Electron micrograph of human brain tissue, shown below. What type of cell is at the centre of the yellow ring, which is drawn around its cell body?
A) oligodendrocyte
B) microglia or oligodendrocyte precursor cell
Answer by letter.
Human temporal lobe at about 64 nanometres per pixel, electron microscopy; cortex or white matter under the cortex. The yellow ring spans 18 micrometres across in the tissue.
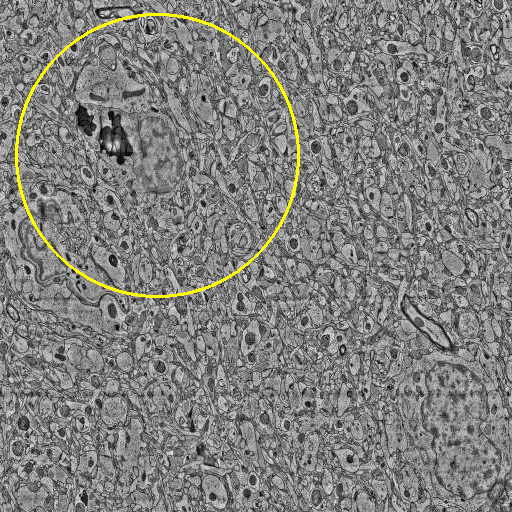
A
